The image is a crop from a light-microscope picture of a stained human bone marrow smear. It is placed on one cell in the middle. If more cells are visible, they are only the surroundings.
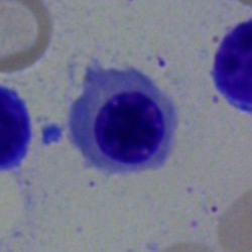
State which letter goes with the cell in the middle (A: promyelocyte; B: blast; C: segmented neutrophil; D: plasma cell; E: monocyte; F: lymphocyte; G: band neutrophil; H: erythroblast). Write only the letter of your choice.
H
